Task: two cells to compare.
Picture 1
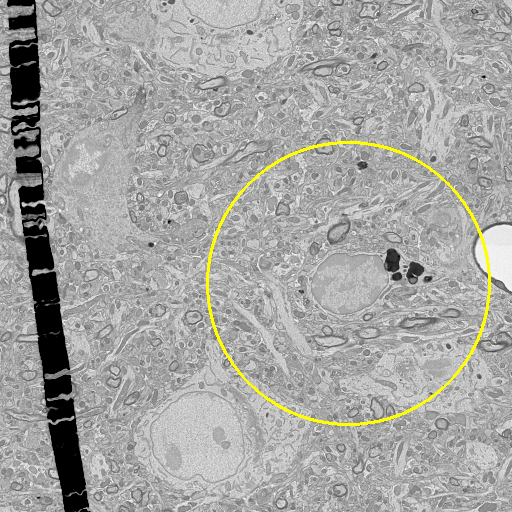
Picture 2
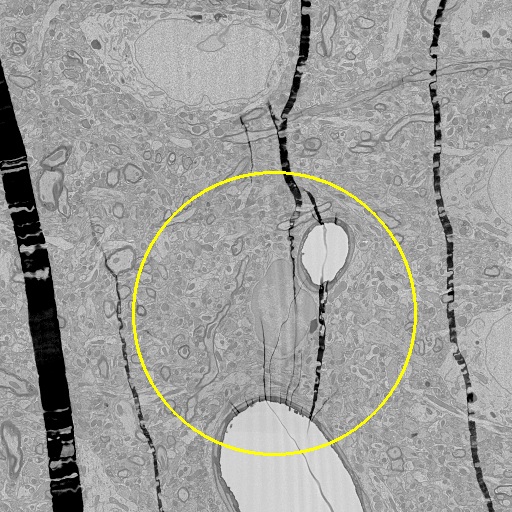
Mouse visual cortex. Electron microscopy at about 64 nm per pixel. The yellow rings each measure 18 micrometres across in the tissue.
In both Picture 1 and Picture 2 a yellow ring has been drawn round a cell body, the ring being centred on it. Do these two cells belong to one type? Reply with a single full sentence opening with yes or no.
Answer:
Yes, the two cells at the ring centres in Picture 1 and Picture 2 share one type.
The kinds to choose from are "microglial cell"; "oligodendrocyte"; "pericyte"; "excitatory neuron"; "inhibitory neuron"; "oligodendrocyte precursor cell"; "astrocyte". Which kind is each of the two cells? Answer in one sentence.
The second cell is a microglial cell, just as the first is.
